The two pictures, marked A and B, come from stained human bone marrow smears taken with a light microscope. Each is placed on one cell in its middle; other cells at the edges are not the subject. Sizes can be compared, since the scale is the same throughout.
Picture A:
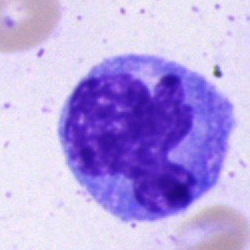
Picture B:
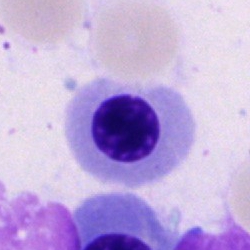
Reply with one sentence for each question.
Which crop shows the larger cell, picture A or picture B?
It is the cell in picture A, about 2 times as large in area as the cell in picture B.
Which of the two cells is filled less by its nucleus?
It is the cell in picture B that is filled less by its nucleus.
